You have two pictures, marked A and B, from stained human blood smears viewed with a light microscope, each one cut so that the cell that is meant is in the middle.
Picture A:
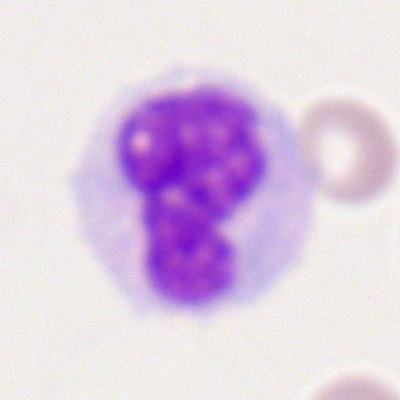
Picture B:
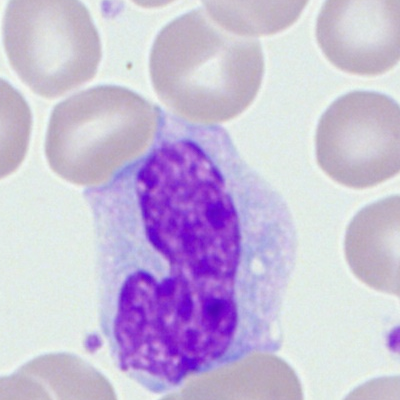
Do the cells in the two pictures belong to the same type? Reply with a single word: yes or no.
yes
